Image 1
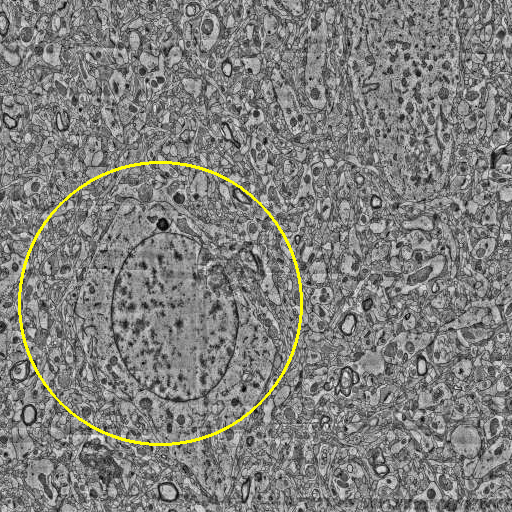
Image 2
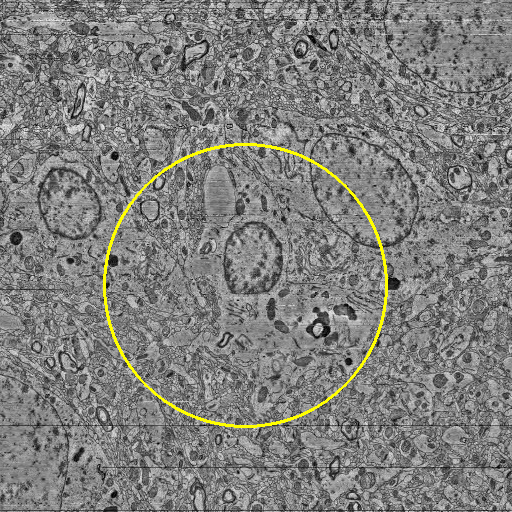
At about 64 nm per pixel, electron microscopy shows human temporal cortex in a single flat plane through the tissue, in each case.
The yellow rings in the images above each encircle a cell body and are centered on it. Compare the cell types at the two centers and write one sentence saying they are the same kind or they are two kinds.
Taken together, the two cells at the ring centers are two kinds.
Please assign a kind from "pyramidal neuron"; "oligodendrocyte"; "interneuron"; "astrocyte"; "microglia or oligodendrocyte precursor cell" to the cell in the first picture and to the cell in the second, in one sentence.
In the first picture we have a pyramidal neuron, and in the second, an astrocyte.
